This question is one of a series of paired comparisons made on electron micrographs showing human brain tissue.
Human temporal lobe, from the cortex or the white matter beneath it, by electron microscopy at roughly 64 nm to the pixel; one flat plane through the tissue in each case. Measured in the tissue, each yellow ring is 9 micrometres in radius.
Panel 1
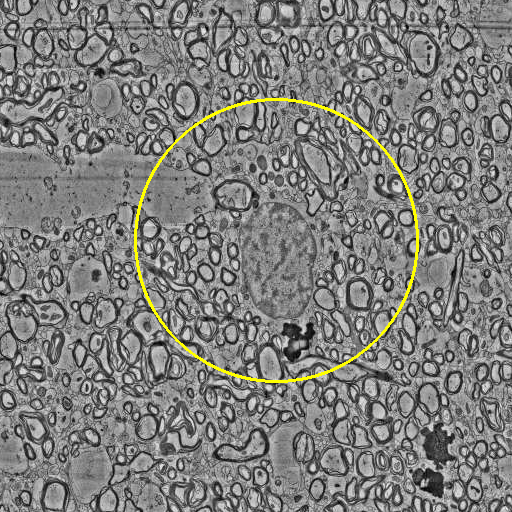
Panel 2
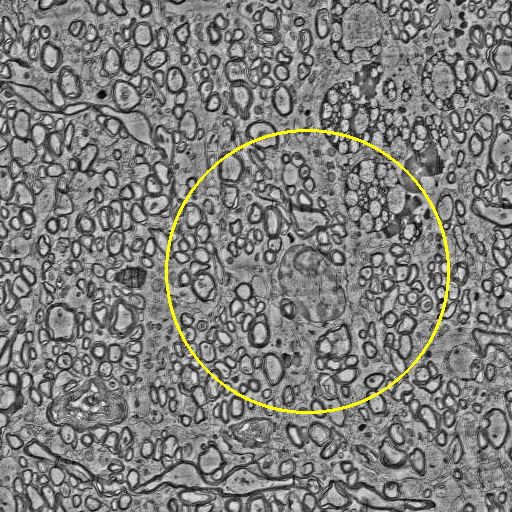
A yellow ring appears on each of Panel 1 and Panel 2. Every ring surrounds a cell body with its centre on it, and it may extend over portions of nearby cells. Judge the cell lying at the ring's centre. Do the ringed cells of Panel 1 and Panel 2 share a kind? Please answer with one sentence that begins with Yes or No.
No, the ring-centre cell in Panel 1 and the one in Panel 2 are of two kinds.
